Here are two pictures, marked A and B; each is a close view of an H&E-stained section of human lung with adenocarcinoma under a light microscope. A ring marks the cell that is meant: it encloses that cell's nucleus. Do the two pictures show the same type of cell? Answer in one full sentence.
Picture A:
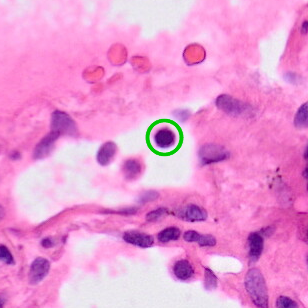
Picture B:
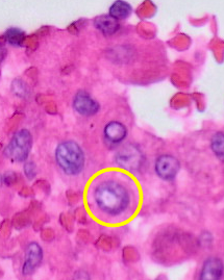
No, they differ: the cell is a lymphocyte in picture A and a “macrophage or monocyte” in picture B.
